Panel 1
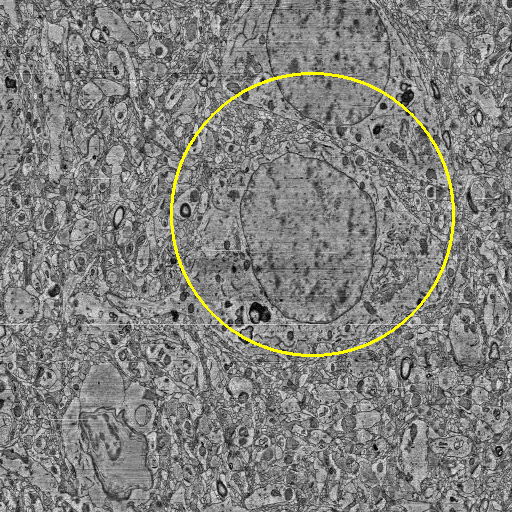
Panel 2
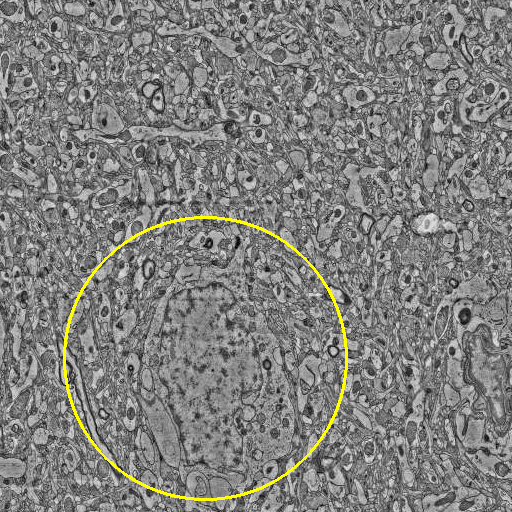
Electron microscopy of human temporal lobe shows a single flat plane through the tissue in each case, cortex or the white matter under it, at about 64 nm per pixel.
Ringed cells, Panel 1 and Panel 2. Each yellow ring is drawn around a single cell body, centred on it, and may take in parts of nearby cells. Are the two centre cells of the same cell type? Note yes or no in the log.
no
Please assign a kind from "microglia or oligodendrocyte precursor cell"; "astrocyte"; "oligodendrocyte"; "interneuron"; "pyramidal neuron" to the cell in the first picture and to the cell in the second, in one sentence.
In the first picture we have a pyramidal neuron, and in the second, an interneuron.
